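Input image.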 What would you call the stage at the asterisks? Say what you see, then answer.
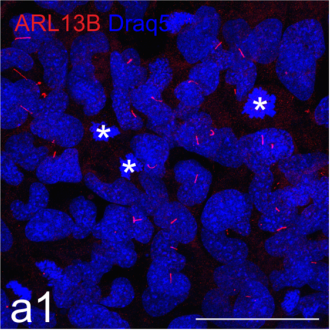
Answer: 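Each asterisk sits on a small, compact nucleus. These nuclei are more intensely blue than the surrounding nuclei. They are much smaller and rounder than the neighbouring interphase nuclei. The answer: mitotic cells.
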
